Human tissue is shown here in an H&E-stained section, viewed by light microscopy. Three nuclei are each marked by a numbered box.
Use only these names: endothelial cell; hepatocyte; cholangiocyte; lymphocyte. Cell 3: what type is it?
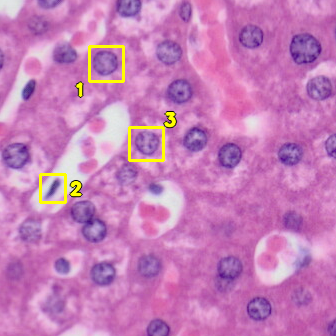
hepatocyte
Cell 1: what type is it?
hepatocyte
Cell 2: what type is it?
lymphocyte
